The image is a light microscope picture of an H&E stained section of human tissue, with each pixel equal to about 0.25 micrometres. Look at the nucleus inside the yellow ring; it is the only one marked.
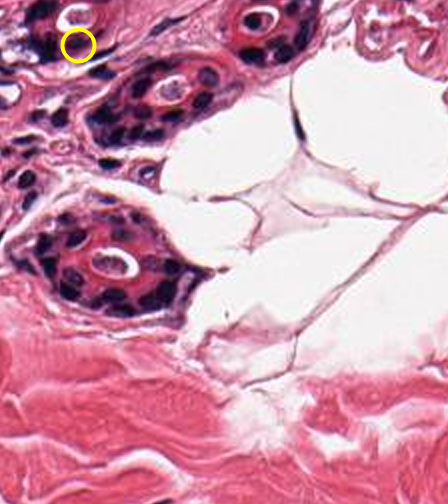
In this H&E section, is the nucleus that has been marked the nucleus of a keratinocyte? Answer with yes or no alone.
no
